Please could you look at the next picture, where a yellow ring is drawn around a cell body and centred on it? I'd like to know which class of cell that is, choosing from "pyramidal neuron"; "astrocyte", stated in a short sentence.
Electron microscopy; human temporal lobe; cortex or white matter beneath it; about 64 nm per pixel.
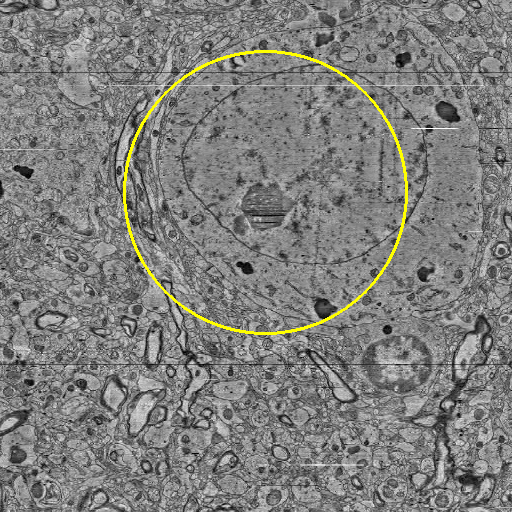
The ring's centre lies on a pyramidal neuron.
